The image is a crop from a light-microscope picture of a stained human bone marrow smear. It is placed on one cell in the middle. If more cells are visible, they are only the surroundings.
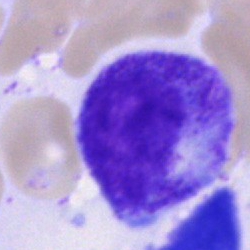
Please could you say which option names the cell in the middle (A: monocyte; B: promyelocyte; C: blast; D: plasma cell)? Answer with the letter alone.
B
